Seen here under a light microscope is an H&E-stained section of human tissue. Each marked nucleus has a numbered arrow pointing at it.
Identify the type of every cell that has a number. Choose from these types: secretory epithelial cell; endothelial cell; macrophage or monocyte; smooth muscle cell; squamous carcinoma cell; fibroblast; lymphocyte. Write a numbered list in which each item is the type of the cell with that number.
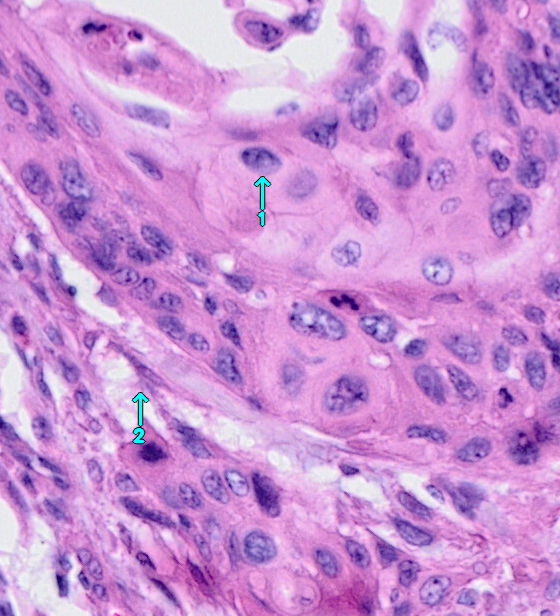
1. squamous carcinoma cell
2. fibroblast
